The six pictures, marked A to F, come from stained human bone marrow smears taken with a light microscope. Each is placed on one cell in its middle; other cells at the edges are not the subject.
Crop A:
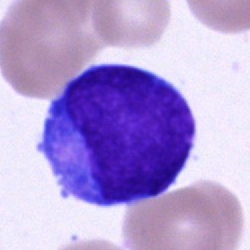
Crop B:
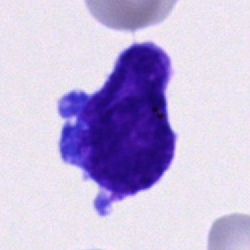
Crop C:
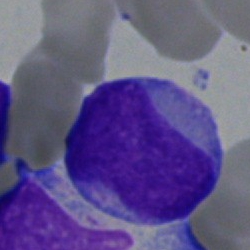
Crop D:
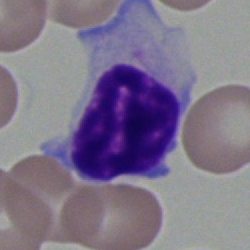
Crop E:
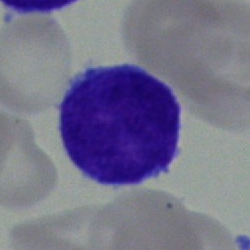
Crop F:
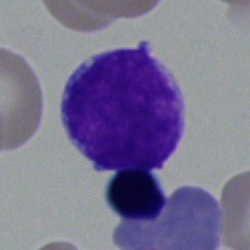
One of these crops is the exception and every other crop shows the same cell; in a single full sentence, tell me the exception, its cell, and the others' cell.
Unlike the other crops, which all show blasts, crop D is a lymphocyte.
